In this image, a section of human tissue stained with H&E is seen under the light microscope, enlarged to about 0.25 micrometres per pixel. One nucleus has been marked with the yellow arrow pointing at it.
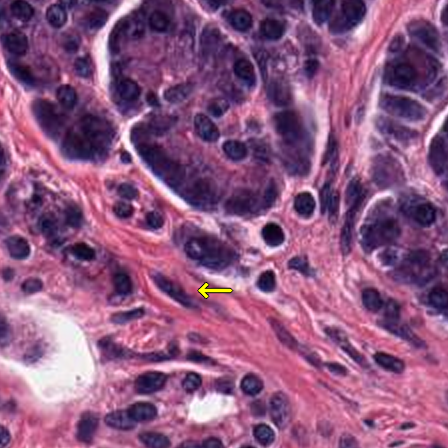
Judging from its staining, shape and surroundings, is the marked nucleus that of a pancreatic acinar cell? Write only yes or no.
no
